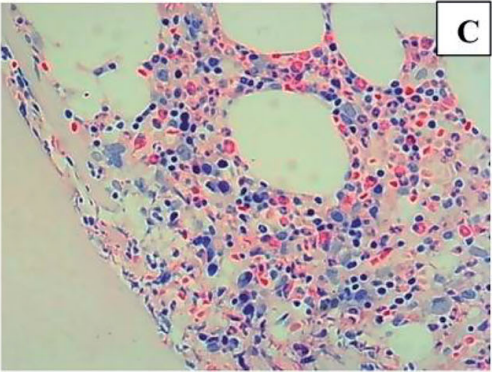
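Bone marrow tissue with pronounced eosinophil infiltration. Large, round, empty spaces left by fat cells are set among sheets of densely packed blood-forming cells. Between these spaces, many cells show bright red cytoplasm with dark nuclei, mingled with cells having round, deep blue nuclei and scant cytoplasm. A few larger cells with paler nuclei are interspersed. The cellular areas fill much of the field between the fat spaces, and a thin pale fibrous edge runs along the left side of the tissue.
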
